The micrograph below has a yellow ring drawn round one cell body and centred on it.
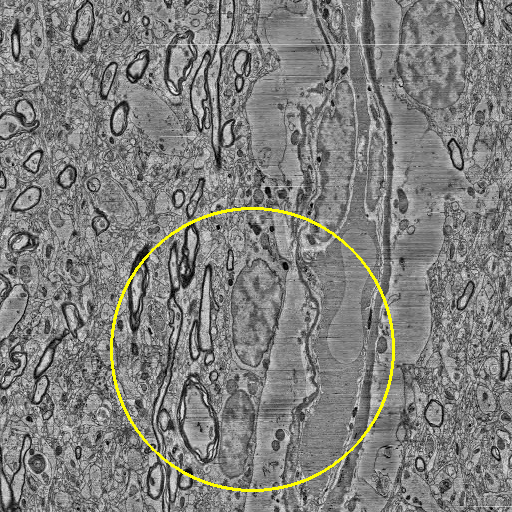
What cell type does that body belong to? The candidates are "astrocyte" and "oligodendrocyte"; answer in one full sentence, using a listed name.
This is an oligodendrocyte, the cell whose body lies at the centre of the ring.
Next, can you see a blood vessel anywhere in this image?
Yes, one shows.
